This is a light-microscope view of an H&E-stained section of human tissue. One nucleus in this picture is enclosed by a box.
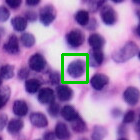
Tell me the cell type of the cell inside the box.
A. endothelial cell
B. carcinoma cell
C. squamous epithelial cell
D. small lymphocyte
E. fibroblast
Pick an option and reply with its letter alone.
D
